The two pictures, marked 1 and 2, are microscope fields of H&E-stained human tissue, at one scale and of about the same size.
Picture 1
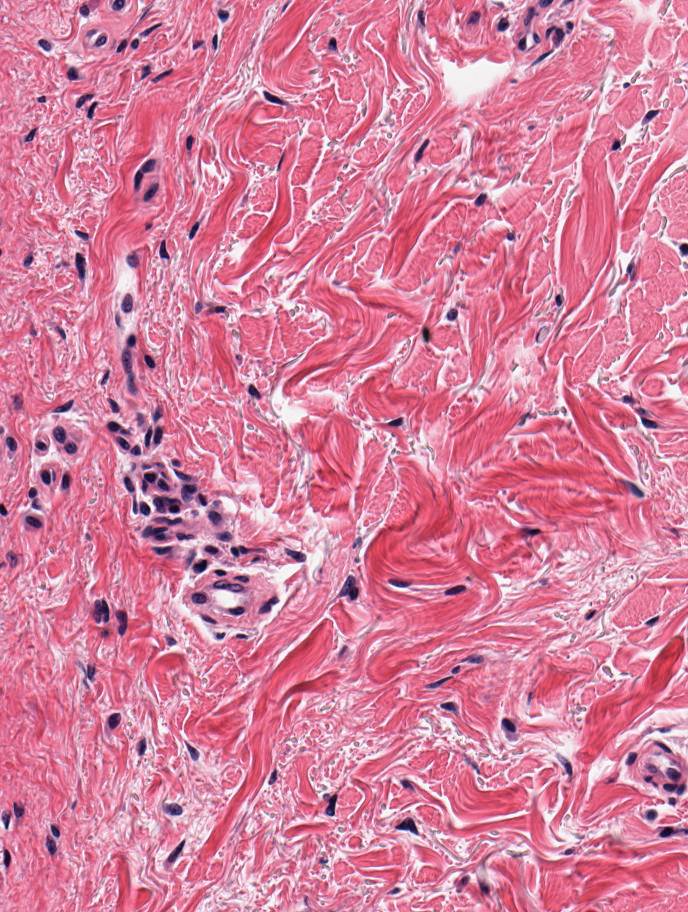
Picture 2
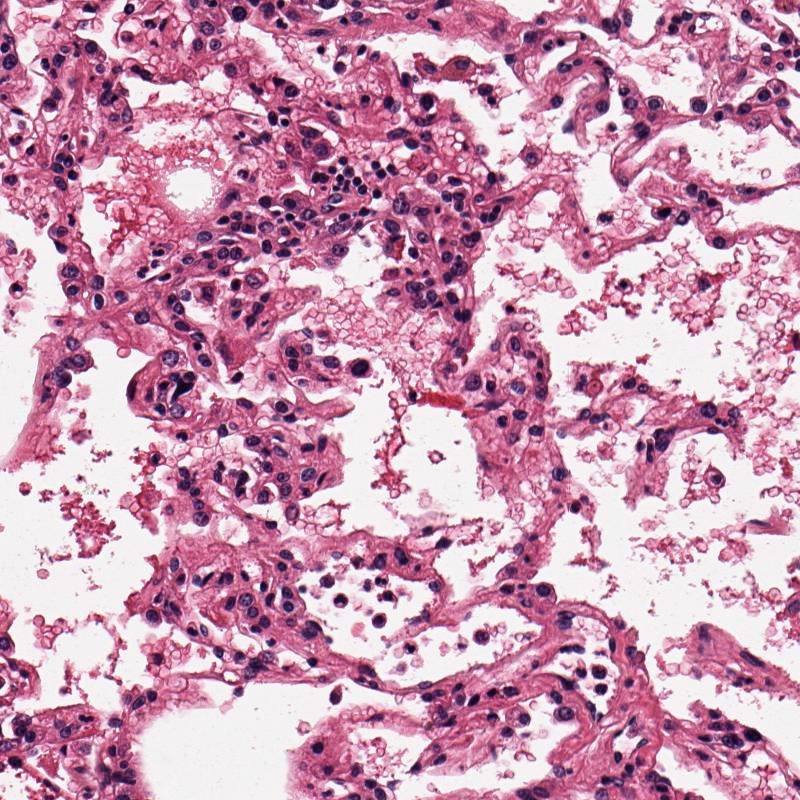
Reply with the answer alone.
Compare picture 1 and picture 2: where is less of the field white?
1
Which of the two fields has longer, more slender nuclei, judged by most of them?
1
